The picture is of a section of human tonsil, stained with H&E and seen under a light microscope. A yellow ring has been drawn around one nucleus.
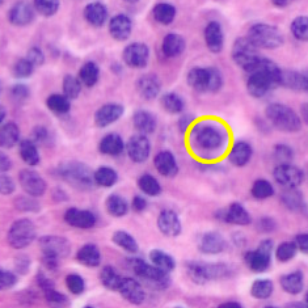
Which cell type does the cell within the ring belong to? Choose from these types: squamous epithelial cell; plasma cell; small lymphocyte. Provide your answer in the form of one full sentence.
In the context of this tissue, the cell within the ring is a plasma cell.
